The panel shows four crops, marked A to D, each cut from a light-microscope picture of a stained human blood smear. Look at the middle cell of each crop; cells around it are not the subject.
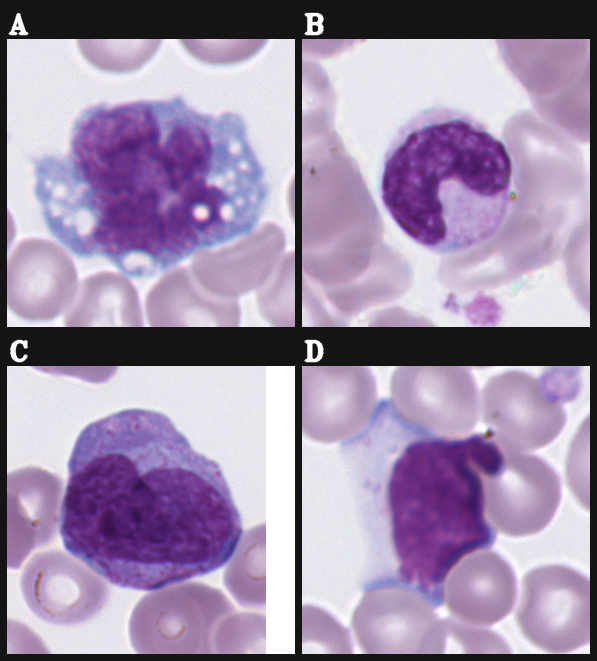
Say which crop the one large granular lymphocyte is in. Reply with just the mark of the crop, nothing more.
D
